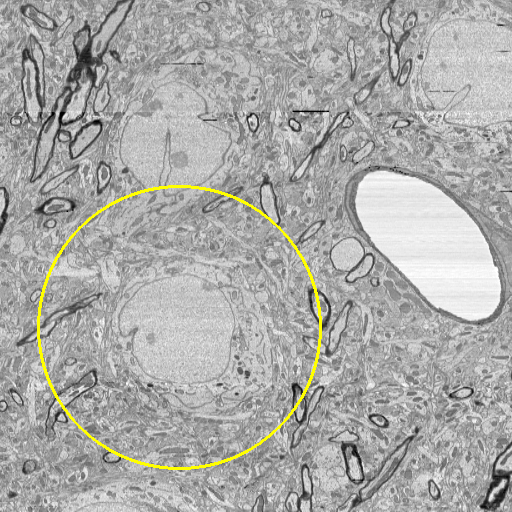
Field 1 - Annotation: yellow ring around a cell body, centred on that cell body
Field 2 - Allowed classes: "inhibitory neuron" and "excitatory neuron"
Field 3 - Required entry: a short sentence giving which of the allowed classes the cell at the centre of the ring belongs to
The centred cell is an excitatory neuron.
